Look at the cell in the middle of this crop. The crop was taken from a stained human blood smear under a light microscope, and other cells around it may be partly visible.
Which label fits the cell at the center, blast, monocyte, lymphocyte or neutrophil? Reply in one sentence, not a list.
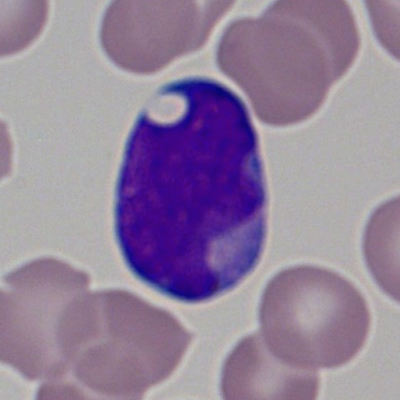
The cell at the heart of this crop is a blast.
